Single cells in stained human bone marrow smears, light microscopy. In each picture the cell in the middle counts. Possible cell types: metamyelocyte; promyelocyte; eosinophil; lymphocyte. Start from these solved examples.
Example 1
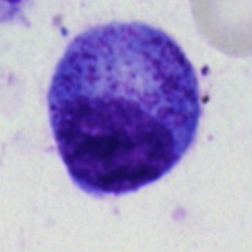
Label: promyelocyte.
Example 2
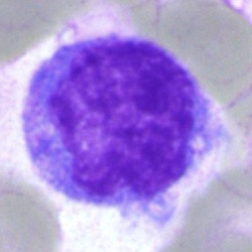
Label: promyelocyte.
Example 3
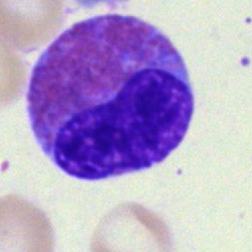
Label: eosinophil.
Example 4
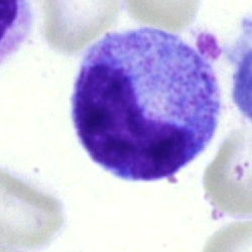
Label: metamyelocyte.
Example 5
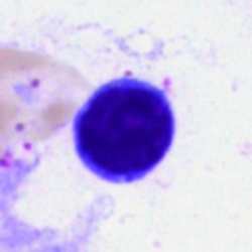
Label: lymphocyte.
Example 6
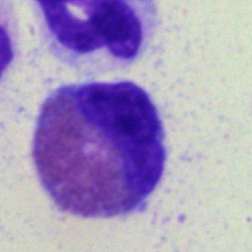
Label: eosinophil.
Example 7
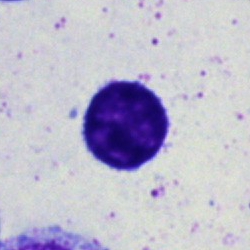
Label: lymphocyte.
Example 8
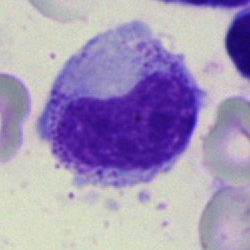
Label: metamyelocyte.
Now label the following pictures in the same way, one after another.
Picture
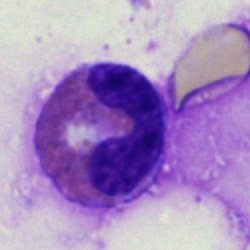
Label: eosinophil.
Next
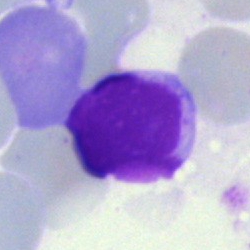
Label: lymphocyte.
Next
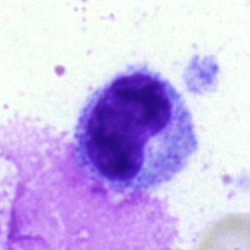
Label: metamyelocyte.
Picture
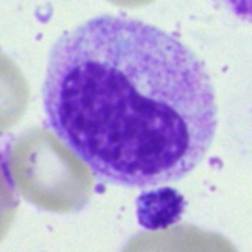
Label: metamyelocyte.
